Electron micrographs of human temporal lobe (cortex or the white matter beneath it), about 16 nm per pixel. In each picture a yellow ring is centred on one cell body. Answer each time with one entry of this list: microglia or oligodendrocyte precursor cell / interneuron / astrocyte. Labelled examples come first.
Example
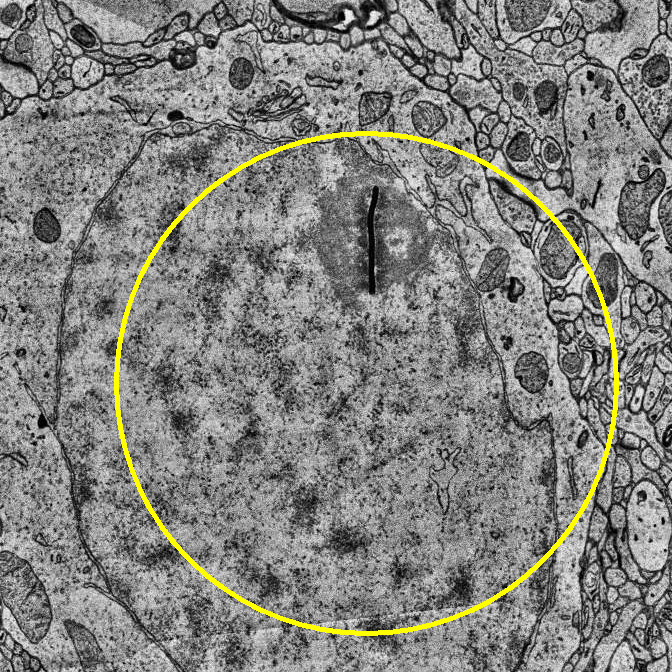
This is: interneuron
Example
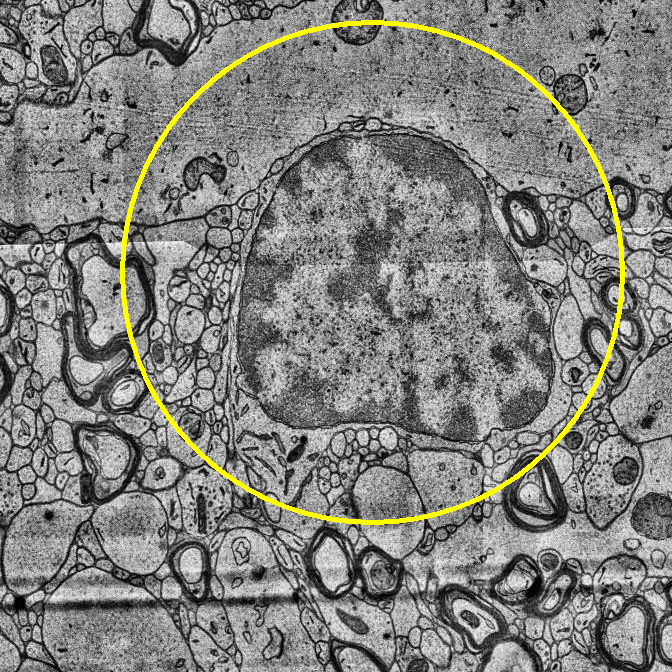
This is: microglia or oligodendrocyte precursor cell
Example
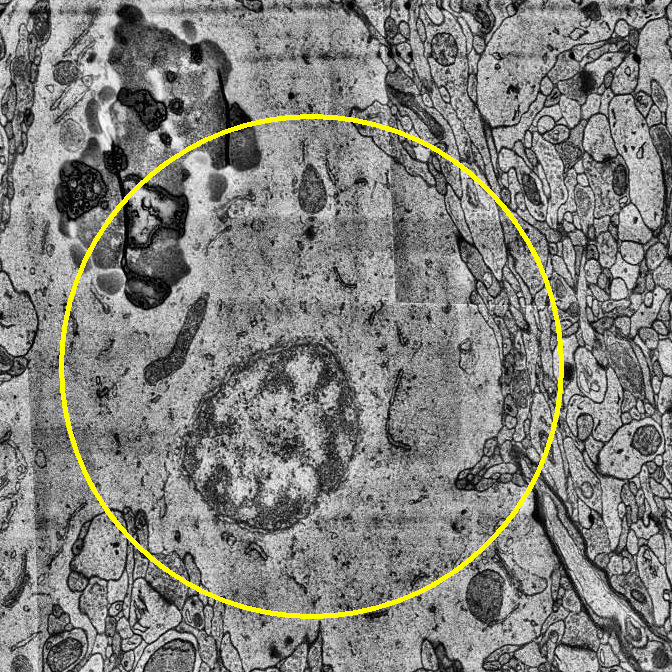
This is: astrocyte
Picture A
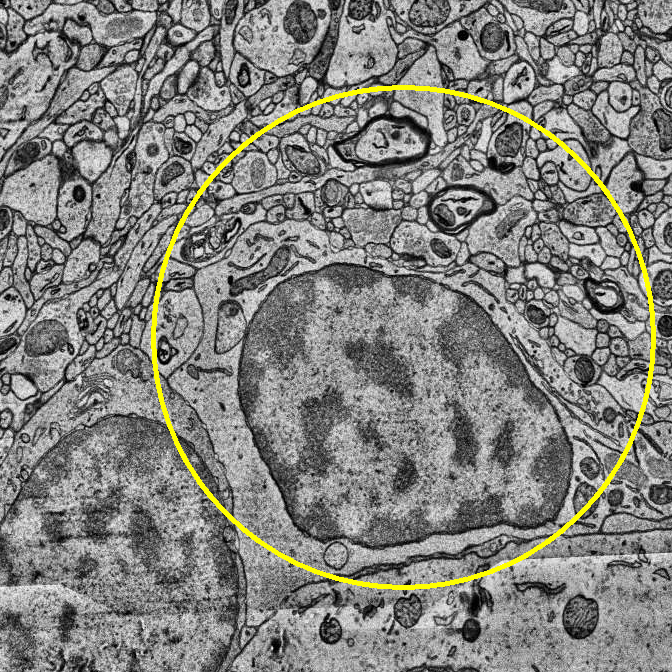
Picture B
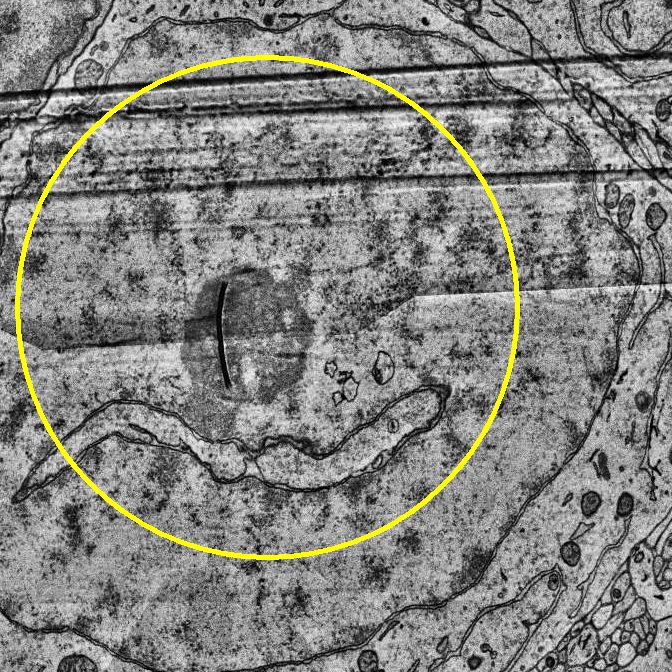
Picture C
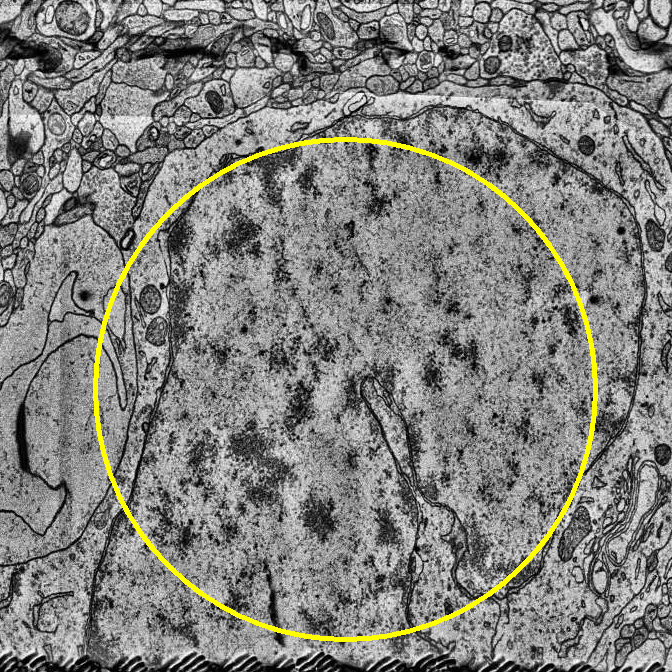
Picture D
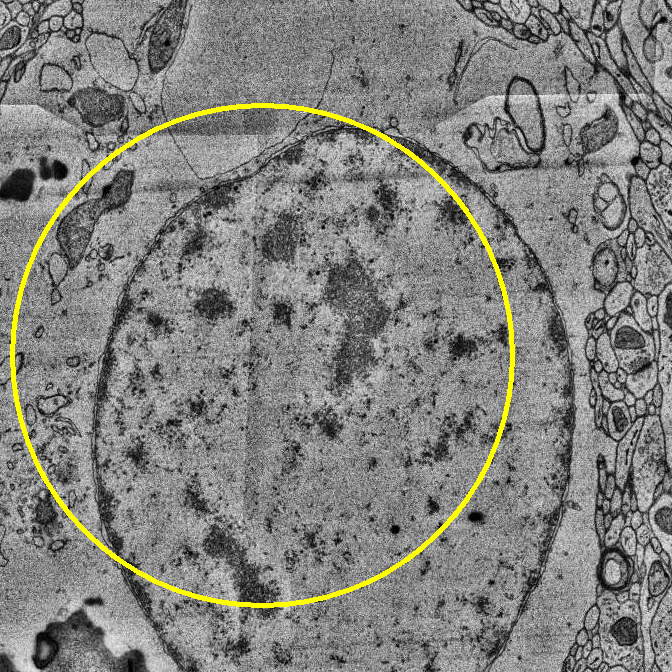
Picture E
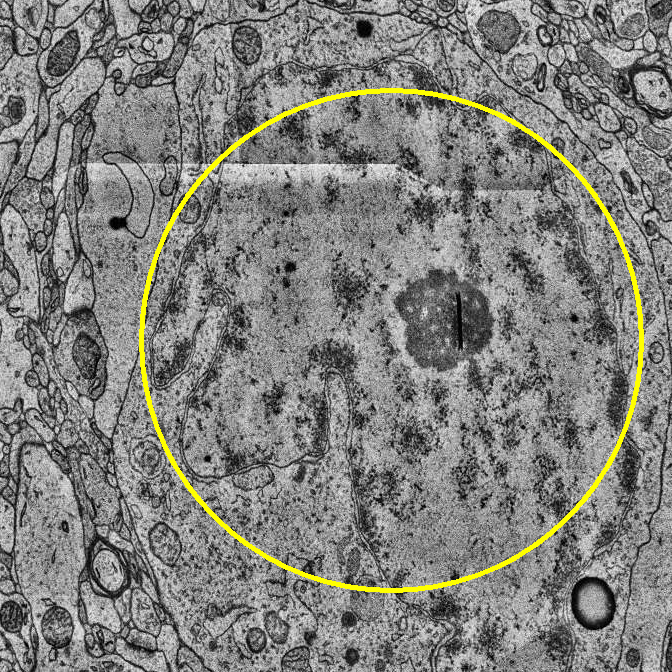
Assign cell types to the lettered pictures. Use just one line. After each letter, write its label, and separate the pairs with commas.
A microglia or oligodendrocyte precursor cell, B interneuron, C interneuron, D astrocyte, E interneuron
